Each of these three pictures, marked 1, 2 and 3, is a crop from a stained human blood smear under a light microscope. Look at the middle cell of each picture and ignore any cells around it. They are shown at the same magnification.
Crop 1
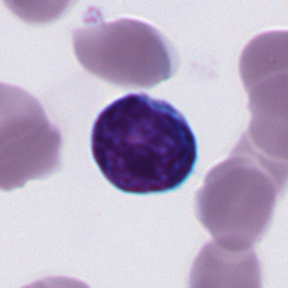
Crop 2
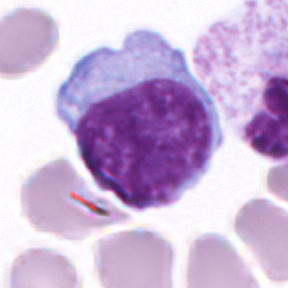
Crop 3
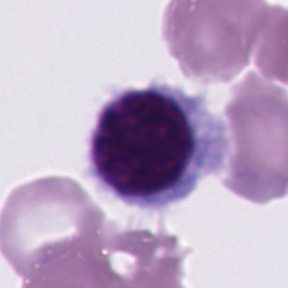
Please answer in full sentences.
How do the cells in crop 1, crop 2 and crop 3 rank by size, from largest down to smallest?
Going down, they run 2, 3, 1.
